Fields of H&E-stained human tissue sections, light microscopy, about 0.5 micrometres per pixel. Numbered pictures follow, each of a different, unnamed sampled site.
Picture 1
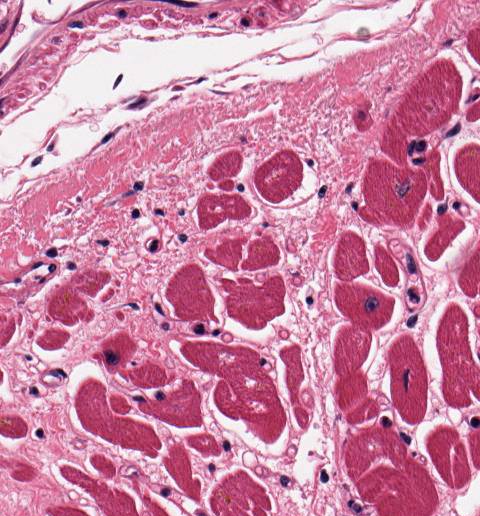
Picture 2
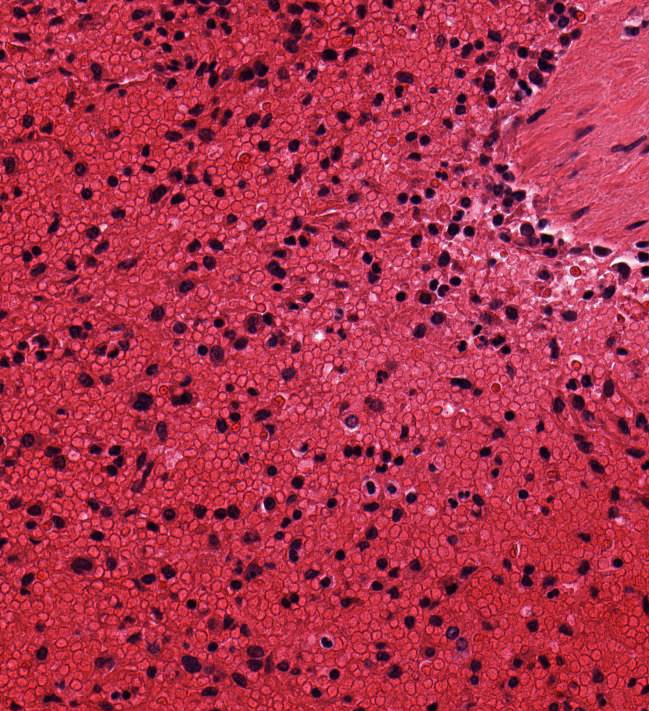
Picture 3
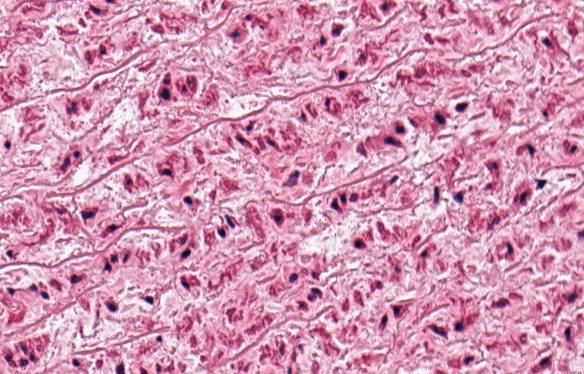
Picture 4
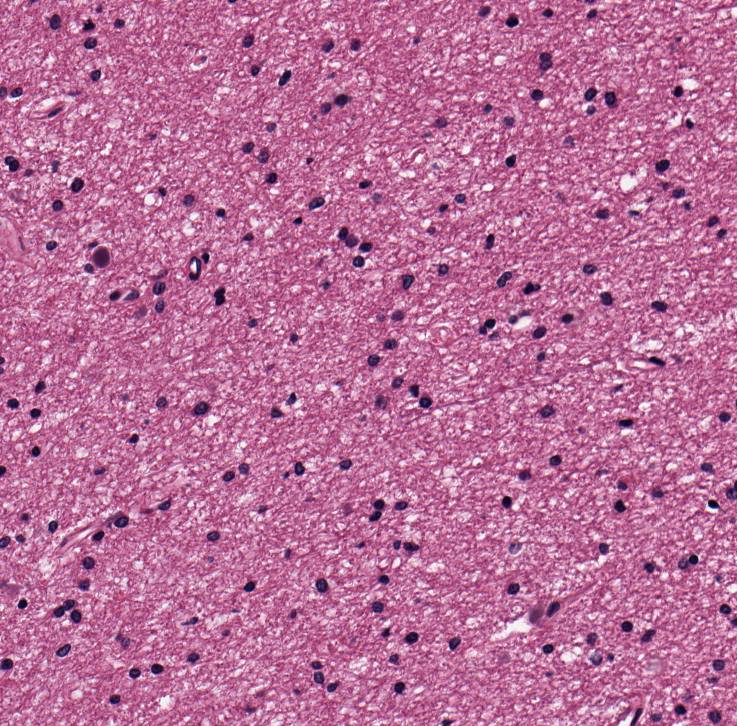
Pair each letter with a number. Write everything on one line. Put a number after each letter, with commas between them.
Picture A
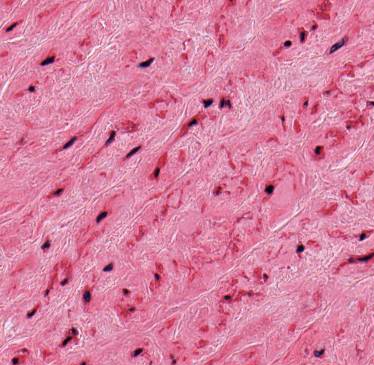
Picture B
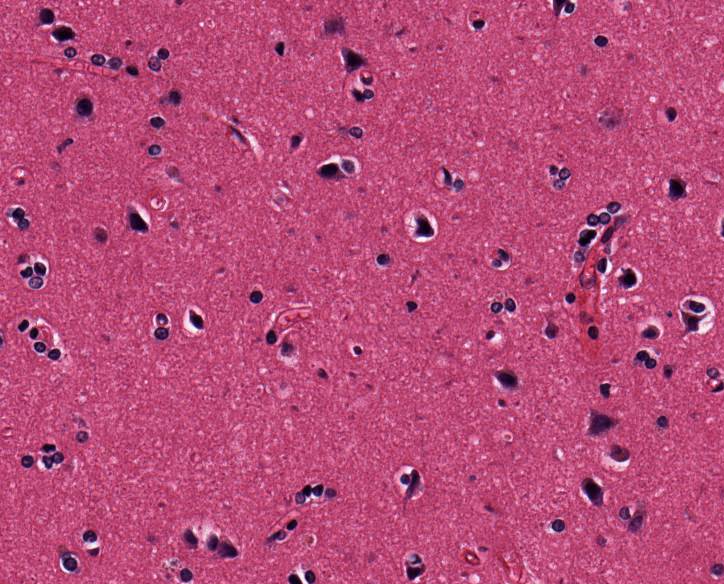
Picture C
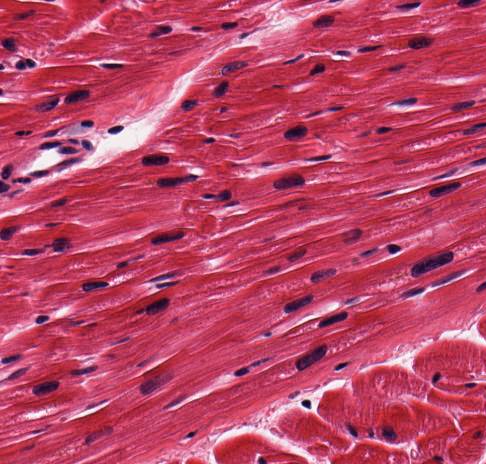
A 3, B 4, C 1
